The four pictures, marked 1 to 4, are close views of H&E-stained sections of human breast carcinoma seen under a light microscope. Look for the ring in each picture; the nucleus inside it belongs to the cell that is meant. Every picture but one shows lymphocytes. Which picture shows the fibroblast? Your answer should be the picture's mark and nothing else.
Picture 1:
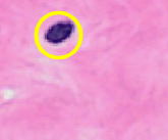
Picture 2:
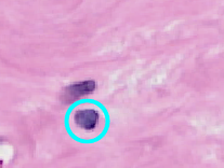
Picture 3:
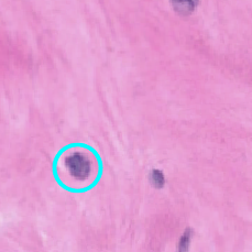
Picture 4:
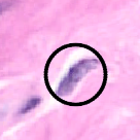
4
